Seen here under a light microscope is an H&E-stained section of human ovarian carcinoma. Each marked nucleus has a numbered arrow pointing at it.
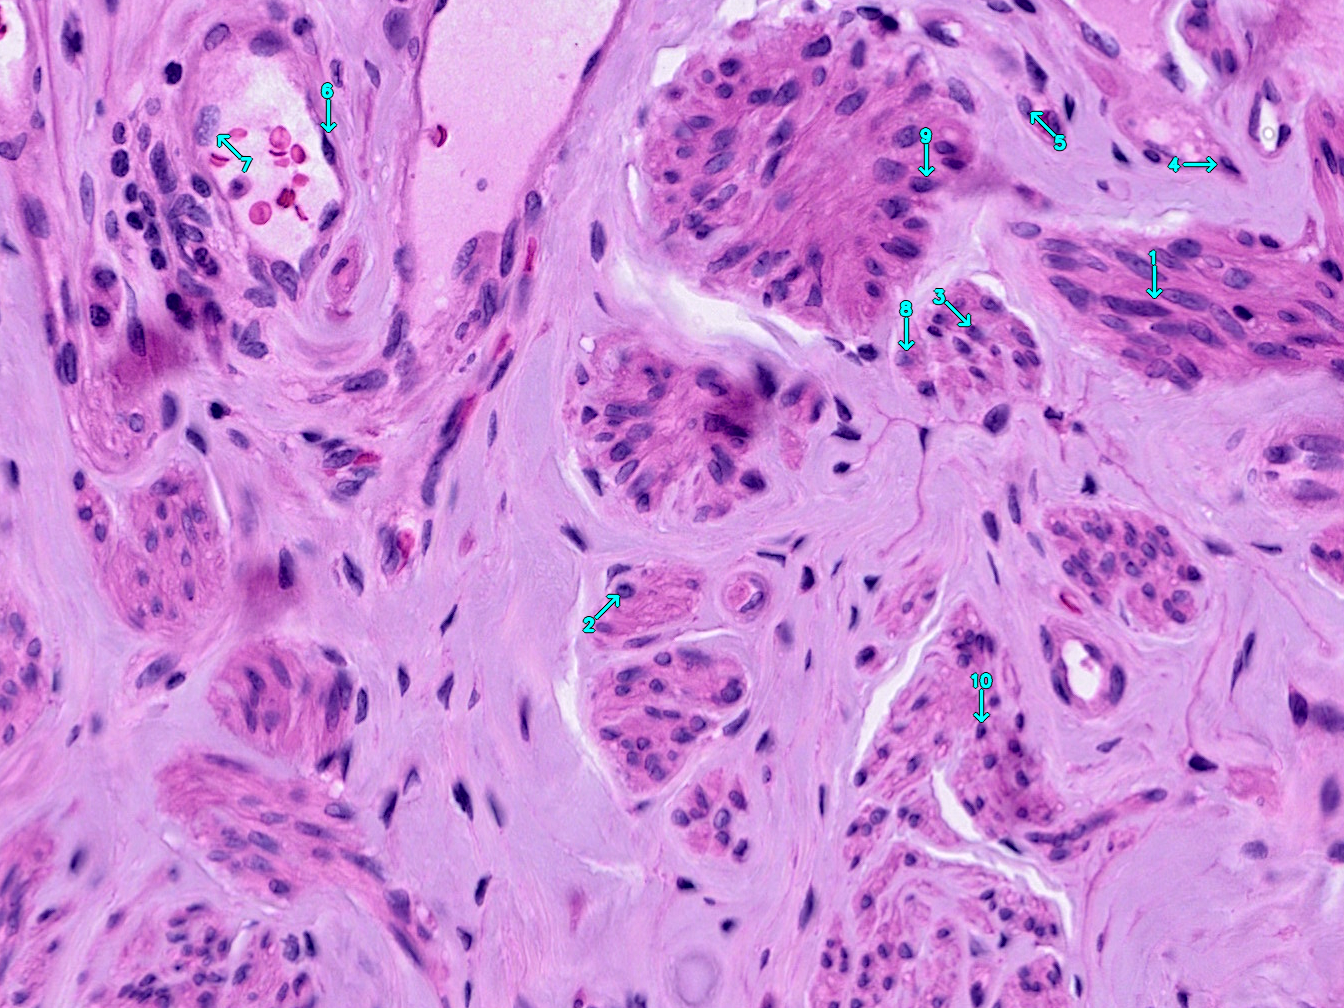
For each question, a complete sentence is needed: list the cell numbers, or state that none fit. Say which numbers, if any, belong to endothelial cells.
Here, the cells that carry numbers 4, 5, 6 and 7 are endothelial cells.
